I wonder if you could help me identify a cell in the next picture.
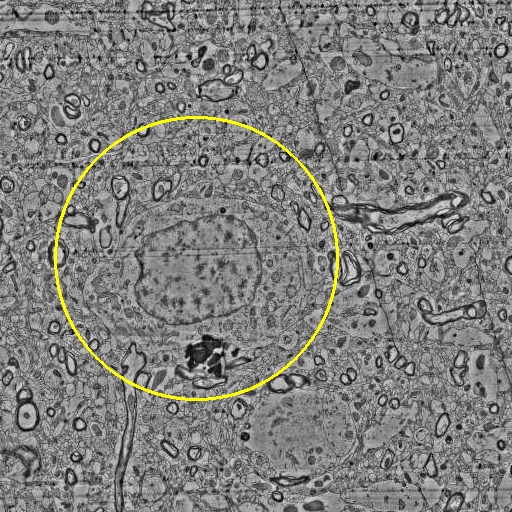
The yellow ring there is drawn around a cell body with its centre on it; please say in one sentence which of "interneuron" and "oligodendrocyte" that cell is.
The yellow ring is centred on an interneuron.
